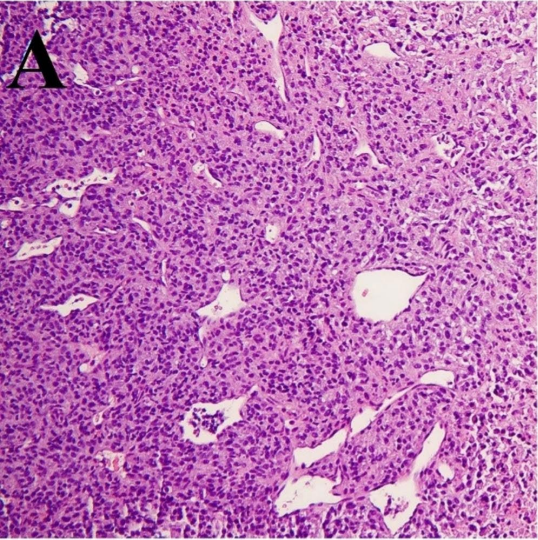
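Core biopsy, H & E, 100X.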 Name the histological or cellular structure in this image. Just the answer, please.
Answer: staghorn-type vessels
